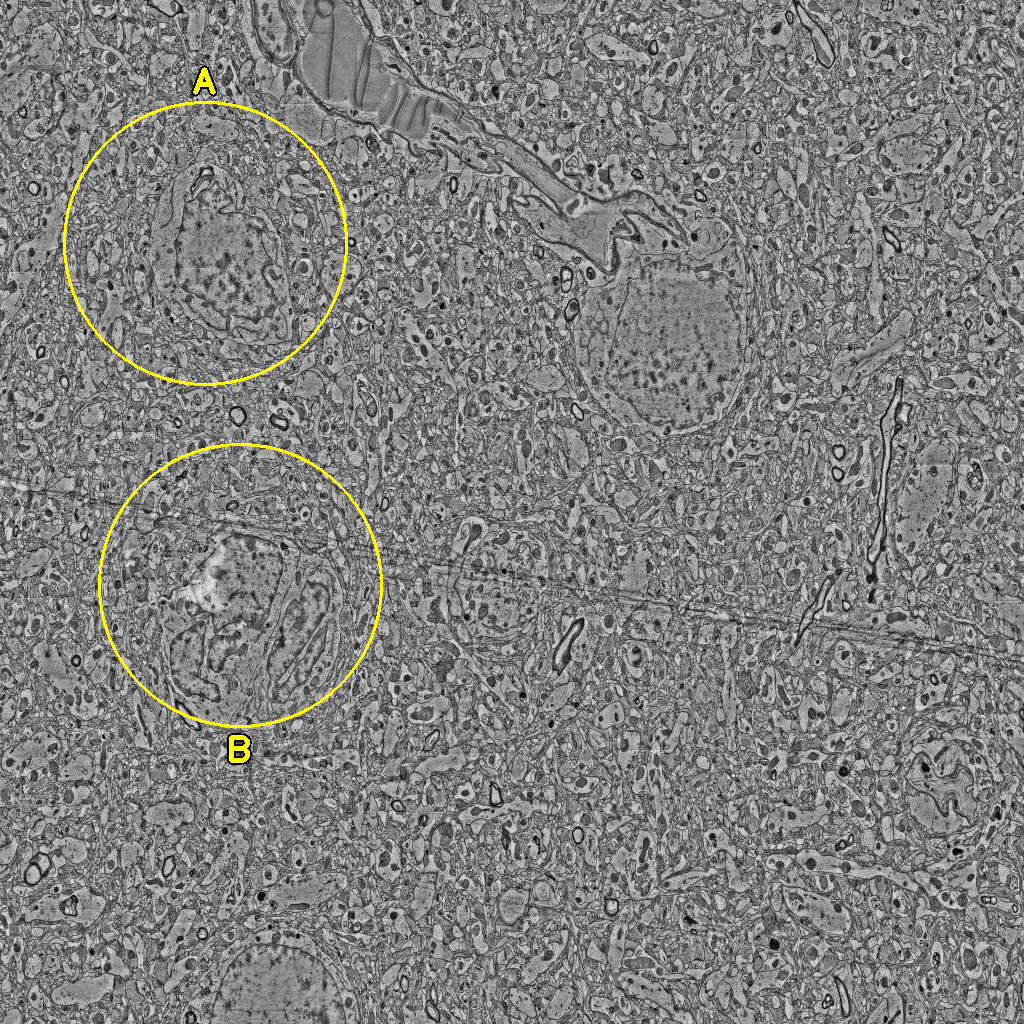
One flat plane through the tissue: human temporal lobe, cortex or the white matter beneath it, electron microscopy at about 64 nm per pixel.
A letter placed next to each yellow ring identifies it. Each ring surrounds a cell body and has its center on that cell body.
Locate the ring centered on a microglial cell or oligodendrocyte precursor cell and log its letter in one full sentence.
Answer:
Ring B has at its center the cell that the task asks for.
